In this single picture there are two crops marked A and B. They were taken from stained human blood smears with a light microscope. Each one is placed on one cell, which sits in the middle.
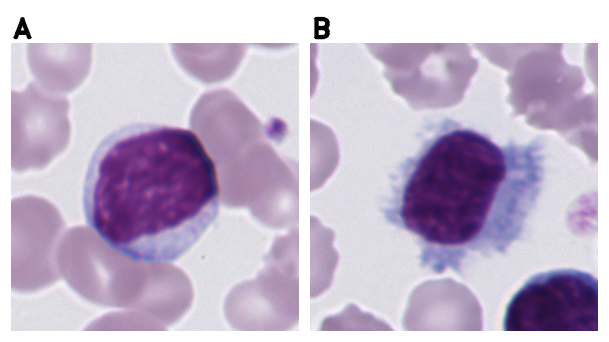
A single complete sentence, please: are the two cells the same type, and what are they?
No, a large granular lymphocyte occupies the middle of crop A, and a hairy cell the middle of crop B.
